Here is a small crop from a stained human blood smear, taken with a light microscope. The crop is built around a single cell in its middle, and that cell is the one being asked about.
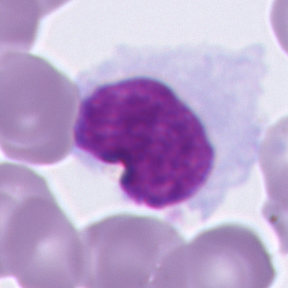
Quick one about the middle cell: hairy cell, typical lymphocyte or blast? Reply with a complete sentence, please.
The crop shows a hairy cell in its centre.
